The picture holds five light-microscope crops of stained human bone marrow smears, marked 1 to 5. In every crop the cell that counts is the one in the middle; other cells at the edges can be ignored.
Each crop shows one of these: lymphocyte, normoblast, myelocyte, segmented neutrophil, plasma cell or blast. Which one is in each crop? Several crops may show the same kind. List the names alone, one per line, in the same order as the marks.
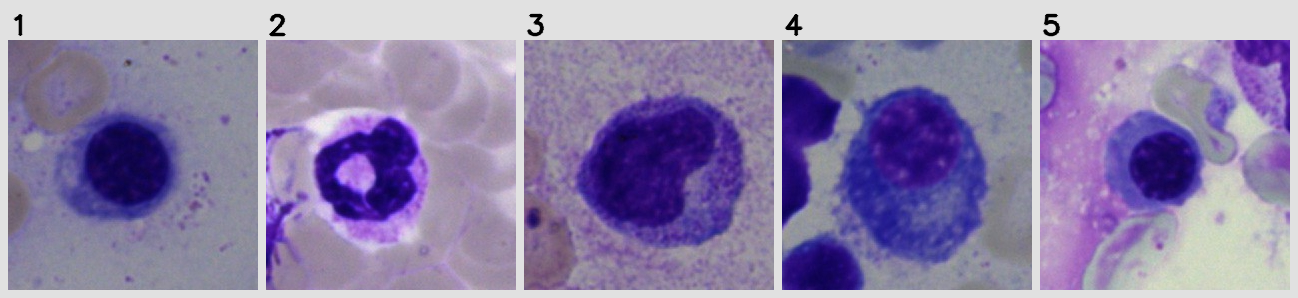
normoblast
segmented neutrophil
myelocyte
plasma cell
normoblast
